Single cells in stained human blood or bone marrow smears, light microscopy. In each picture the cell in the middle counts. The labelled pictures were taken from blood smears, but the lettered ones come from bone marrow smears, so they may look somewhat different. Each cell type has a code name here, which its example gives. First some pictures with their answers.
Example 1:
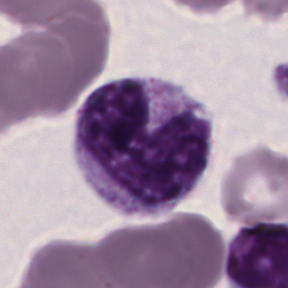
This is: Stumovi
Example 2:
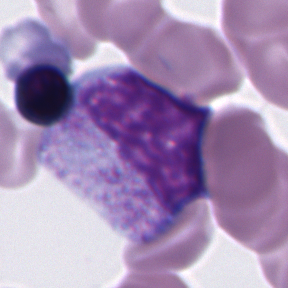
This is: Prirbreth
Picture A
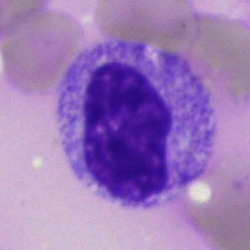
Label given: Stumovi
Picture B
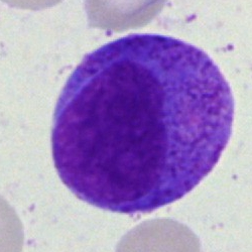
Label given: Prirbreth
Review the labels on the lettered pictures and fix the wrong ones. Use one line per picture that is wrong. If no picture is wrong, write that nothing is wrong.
All labels are correct.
